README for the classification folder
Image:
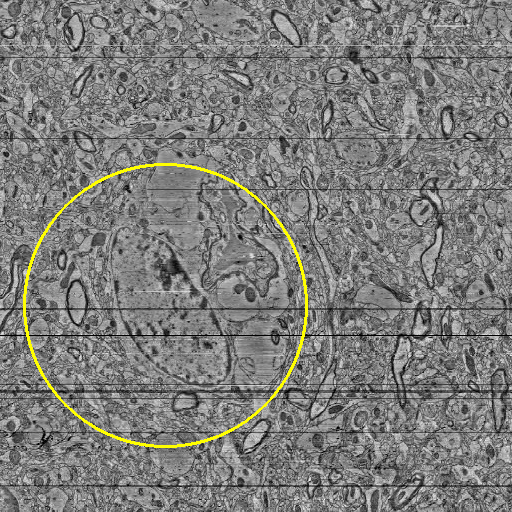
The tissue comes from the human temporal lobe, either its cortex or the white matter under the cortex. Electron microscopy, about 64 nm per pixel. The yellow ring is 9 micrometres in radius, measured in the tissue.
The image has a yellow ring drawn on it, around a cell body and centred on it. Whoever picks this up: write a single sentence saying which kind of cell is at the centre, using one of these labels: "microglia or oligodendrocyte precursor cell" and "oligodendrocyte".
This cell body is that of a microglial cell or oligodendrocyte precursor cell.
